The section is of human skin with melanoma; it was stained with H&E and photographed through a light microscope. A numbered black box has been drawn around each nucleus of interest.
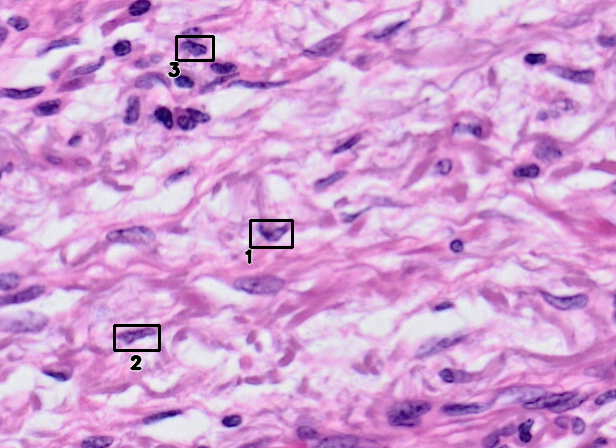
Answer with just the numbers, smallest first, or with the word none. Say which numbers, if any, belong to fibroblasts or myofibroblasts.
1, 2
